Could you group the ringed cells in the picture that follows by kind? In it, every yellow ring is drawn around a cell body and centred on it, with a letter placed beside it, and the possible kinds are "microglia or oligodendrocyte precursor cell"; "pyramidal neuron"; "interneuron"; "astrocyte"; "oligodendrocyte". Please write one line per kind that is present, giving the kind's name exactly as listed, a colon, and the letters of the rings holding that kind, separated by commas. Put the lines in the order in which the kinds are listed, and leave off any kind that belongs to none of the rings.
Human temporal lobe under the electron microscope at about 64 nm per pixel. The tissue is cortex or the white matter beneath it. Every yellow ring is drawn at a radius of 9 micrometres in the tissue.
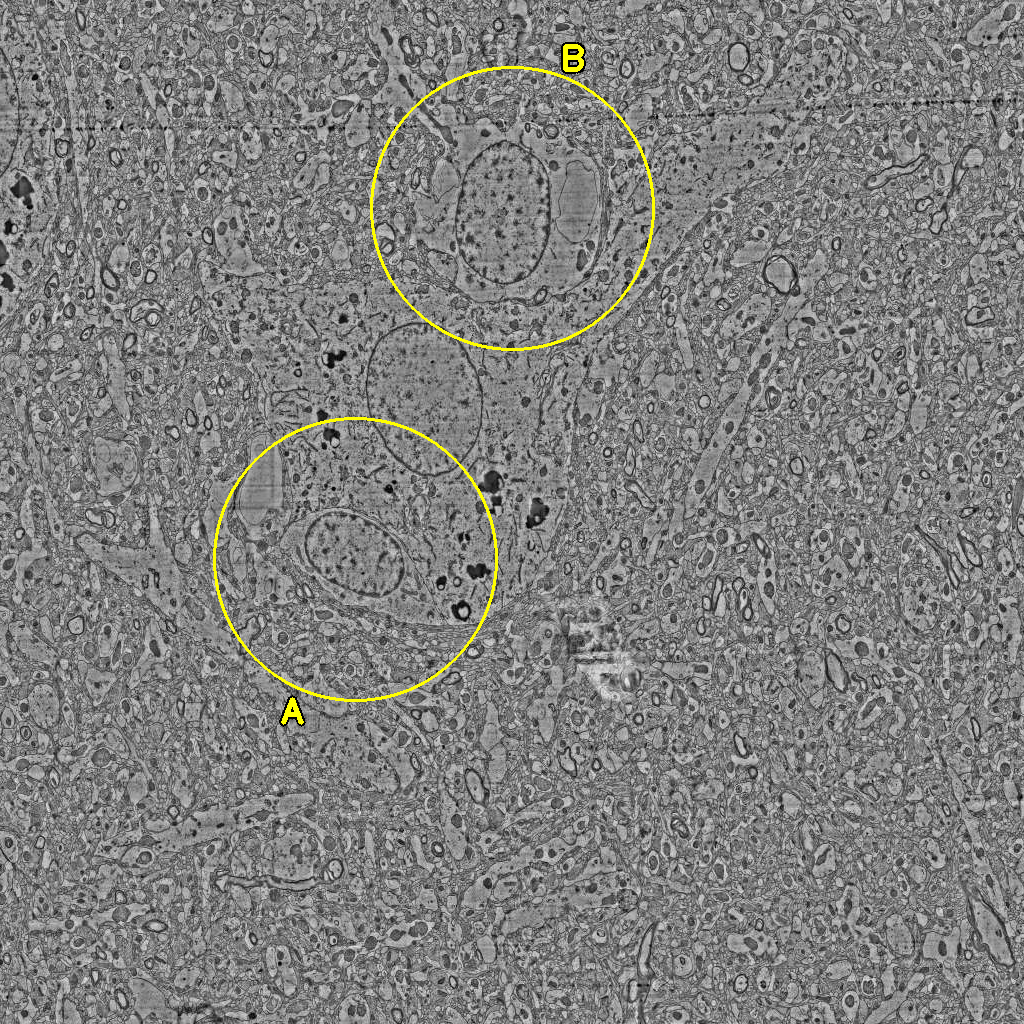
microglia or oligodendrocyte precursor cell: A
astrocyte: B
